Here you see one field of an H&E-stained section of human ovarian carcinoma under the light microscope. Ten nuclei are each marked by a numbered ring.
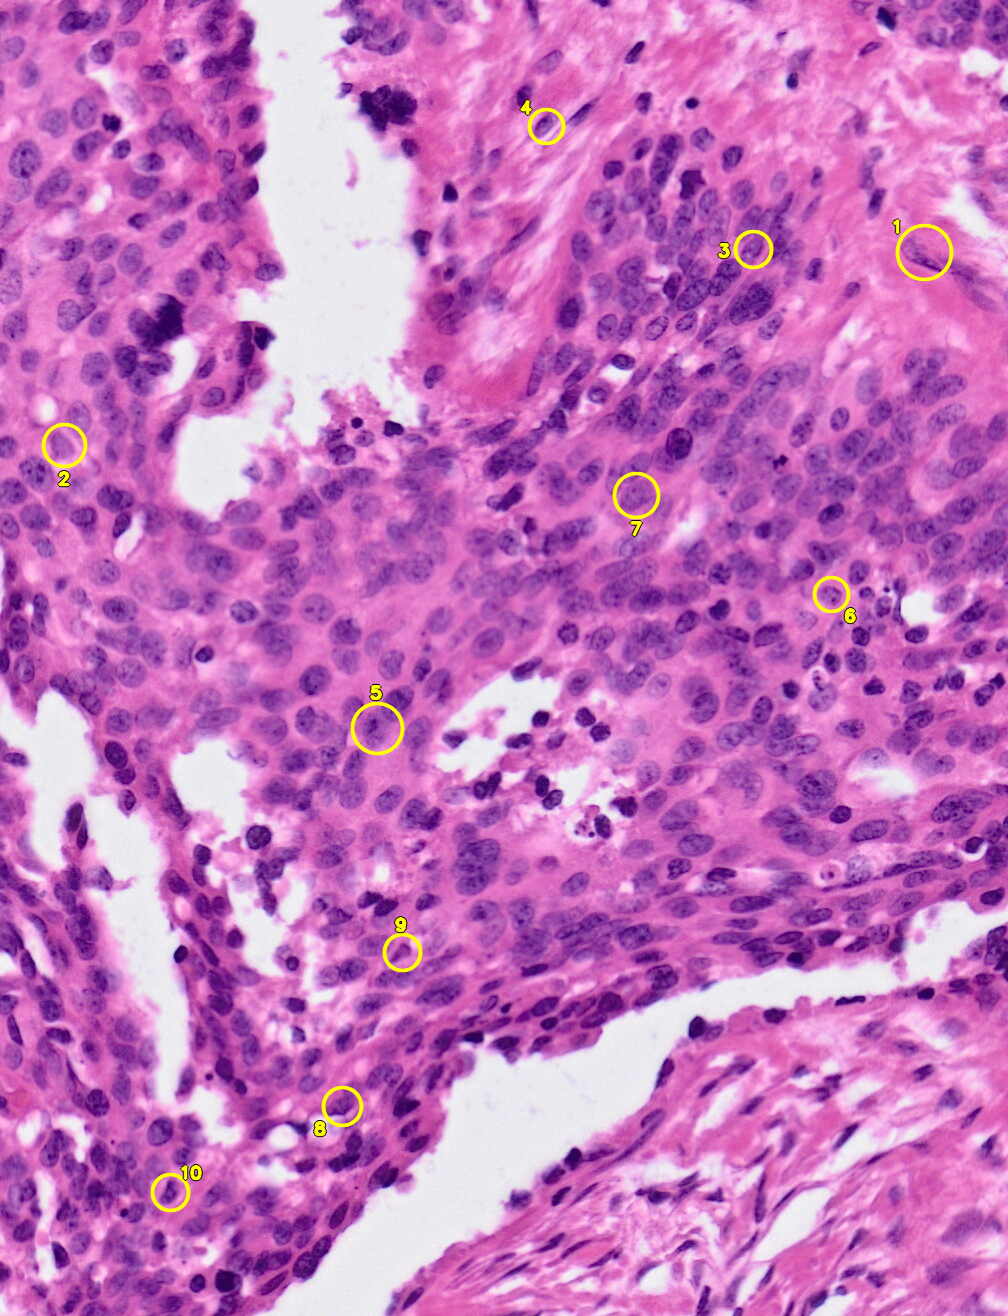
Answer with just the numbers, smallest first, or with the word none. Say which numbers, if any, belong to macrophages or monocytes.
6, 10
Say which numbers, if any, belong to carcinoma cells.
2, 3, 5, 7, 8, 9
